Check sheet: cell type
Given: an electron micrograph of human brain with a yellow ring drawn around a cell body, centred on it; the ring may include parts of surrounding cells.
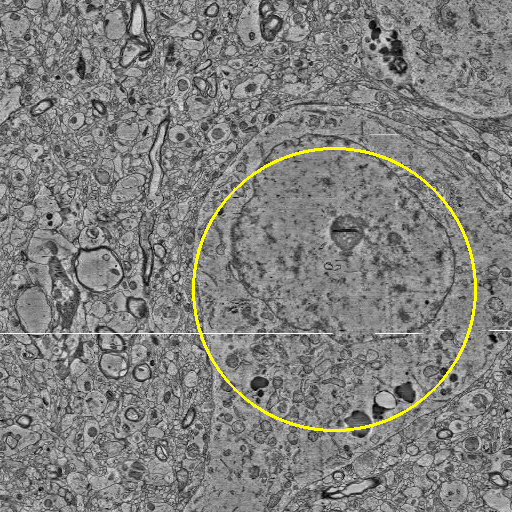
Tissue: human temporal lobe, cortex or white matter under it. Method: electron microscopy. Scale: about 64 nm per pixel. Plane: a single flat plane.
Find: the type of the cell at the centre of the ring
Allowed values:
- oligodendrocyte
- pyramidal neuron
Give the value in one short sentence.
Here the ringed cell is a pyramidal neuron.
